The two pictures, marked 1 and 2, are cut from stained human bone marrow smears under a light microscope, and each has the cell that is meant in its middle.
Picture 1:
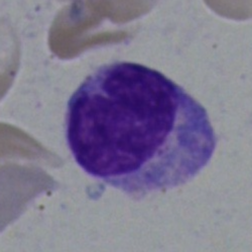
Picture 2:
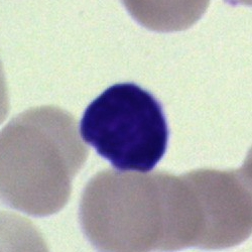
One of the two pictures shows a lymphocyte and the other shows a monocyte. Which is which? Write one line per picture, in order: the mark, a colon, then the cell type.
1: monocyte
2: lymphocyte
